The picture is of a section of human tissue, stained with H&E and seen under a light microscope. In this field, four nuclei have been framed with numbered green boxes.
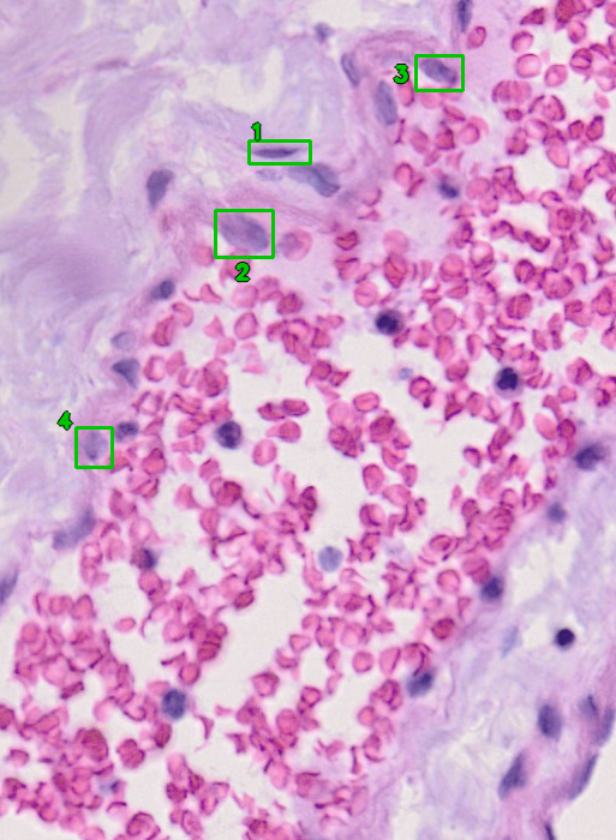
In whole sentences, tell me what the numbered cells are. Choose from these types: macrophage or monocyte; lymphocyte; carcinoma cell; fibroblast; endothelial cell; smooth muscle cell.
Cell 1 is a fibroblast, cell 2 is an endothelial cell, cell 3 is an endothelial cell and cell 4 is an endothelial cell.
